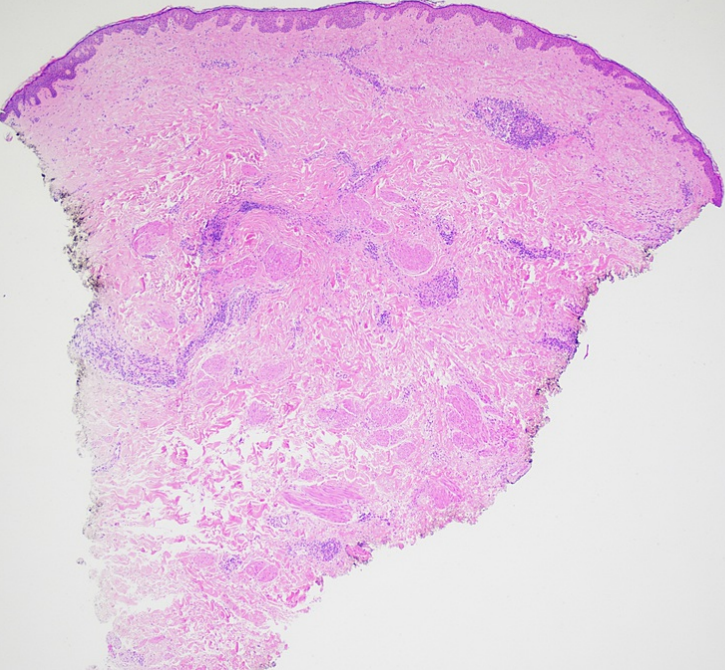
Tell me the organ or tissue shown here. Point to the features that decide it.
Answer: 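Skin. A thin purple stratified epithelial layer covers the top surface. A thick pink fibrous connective tissue layer lies beneath the epithelium.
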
